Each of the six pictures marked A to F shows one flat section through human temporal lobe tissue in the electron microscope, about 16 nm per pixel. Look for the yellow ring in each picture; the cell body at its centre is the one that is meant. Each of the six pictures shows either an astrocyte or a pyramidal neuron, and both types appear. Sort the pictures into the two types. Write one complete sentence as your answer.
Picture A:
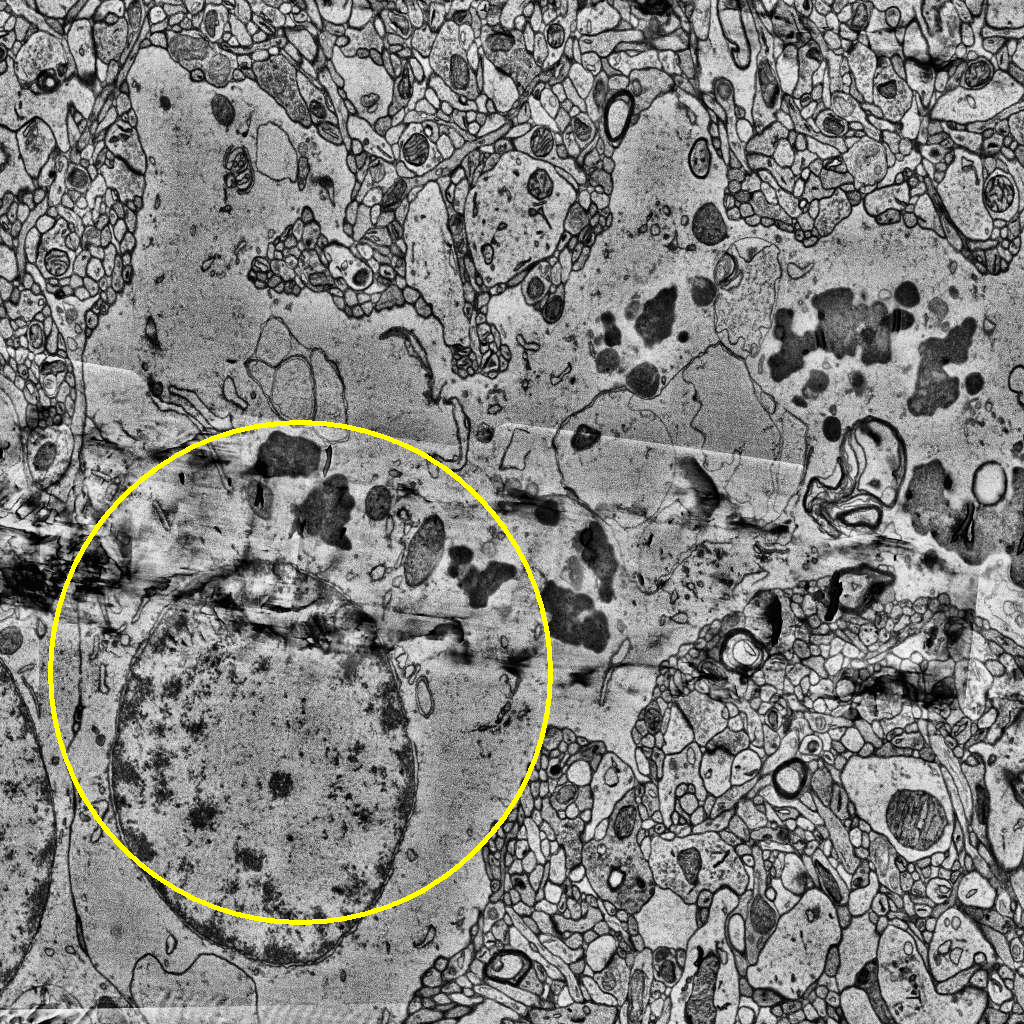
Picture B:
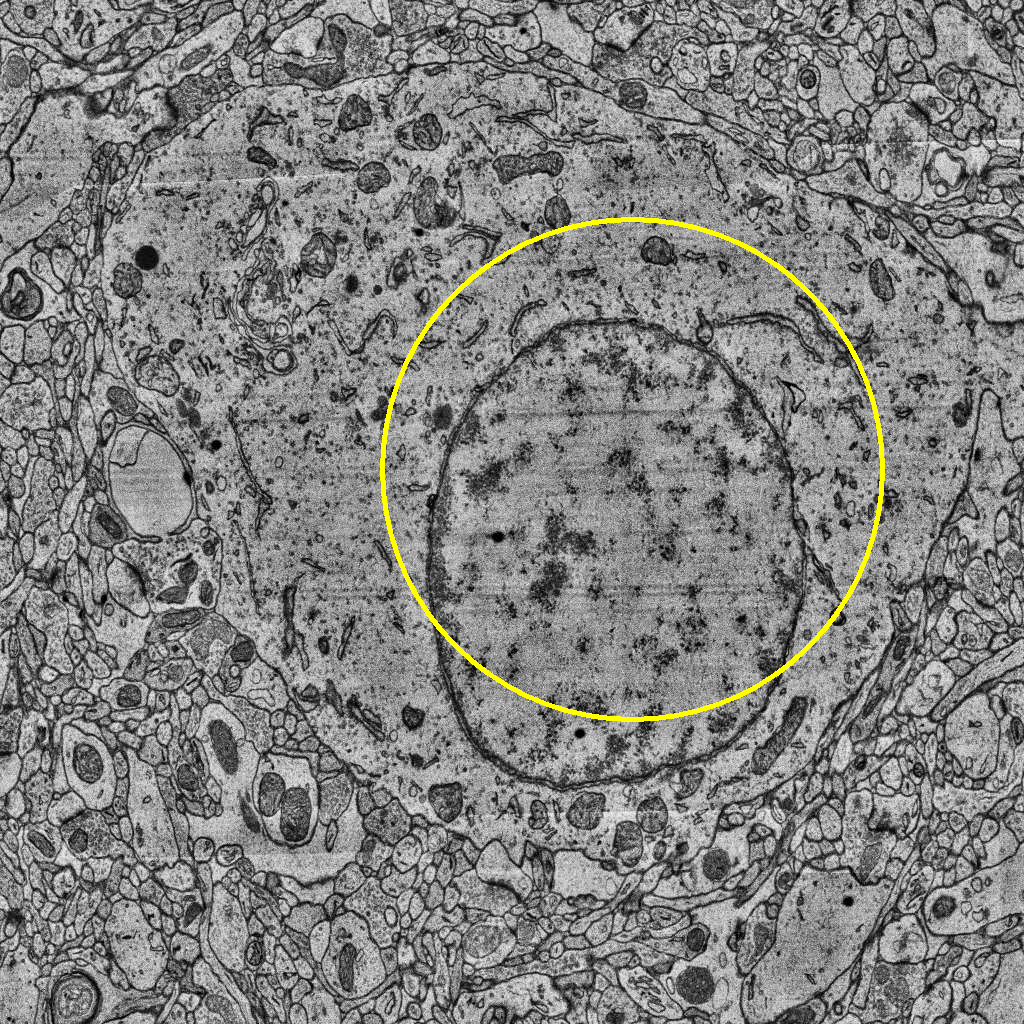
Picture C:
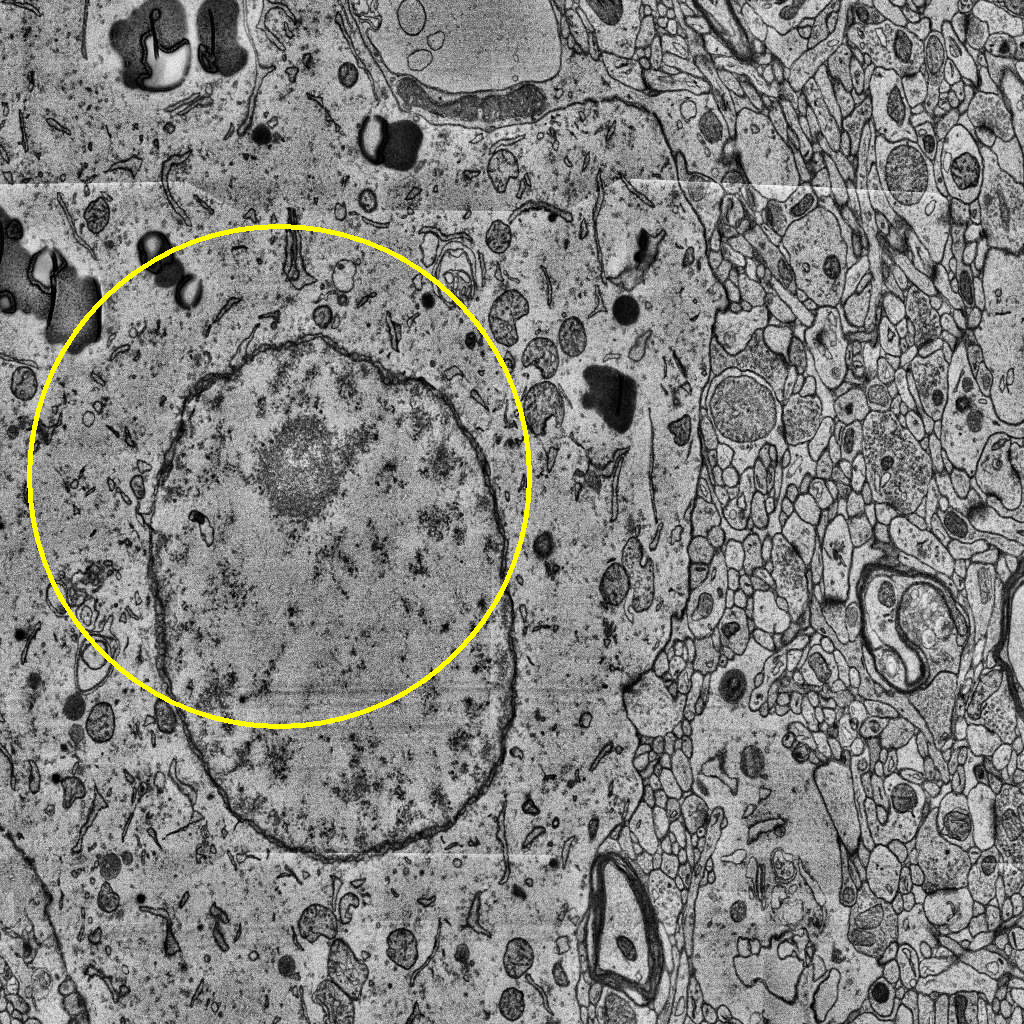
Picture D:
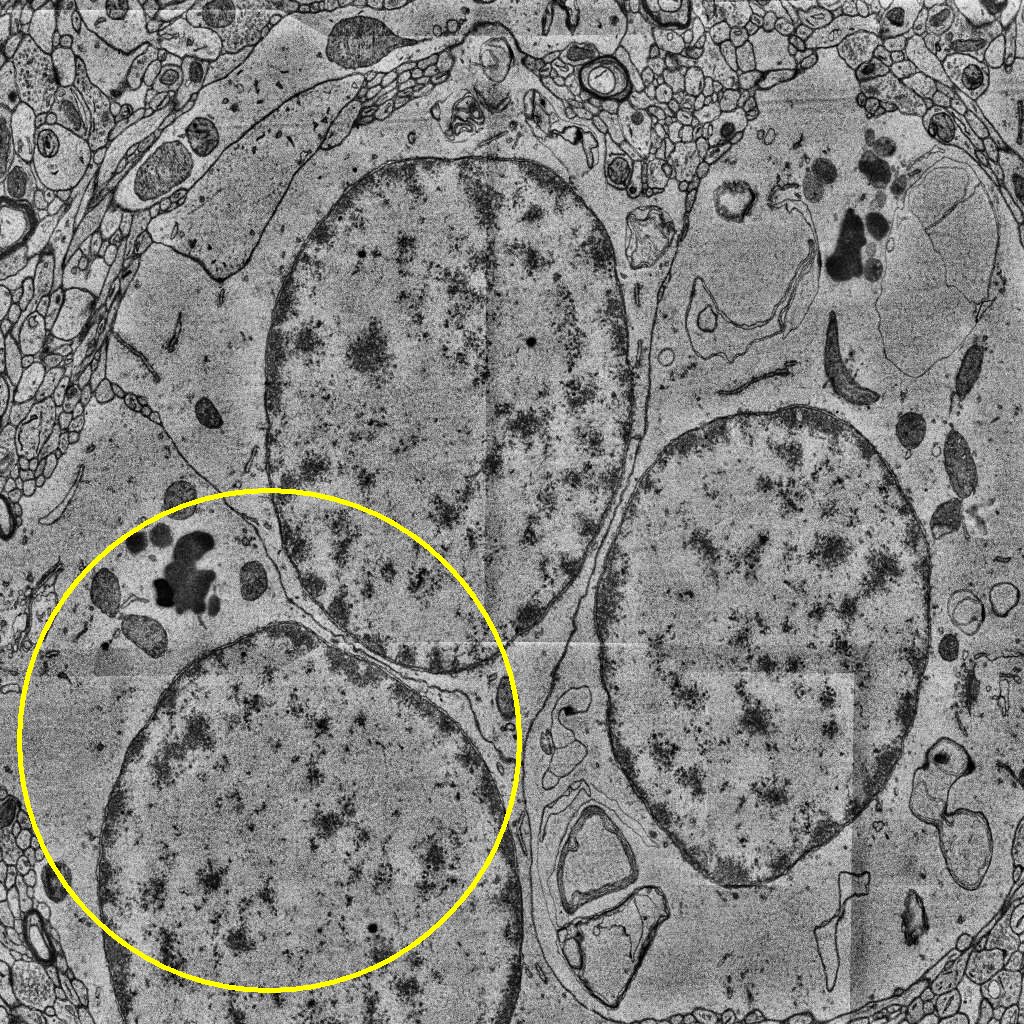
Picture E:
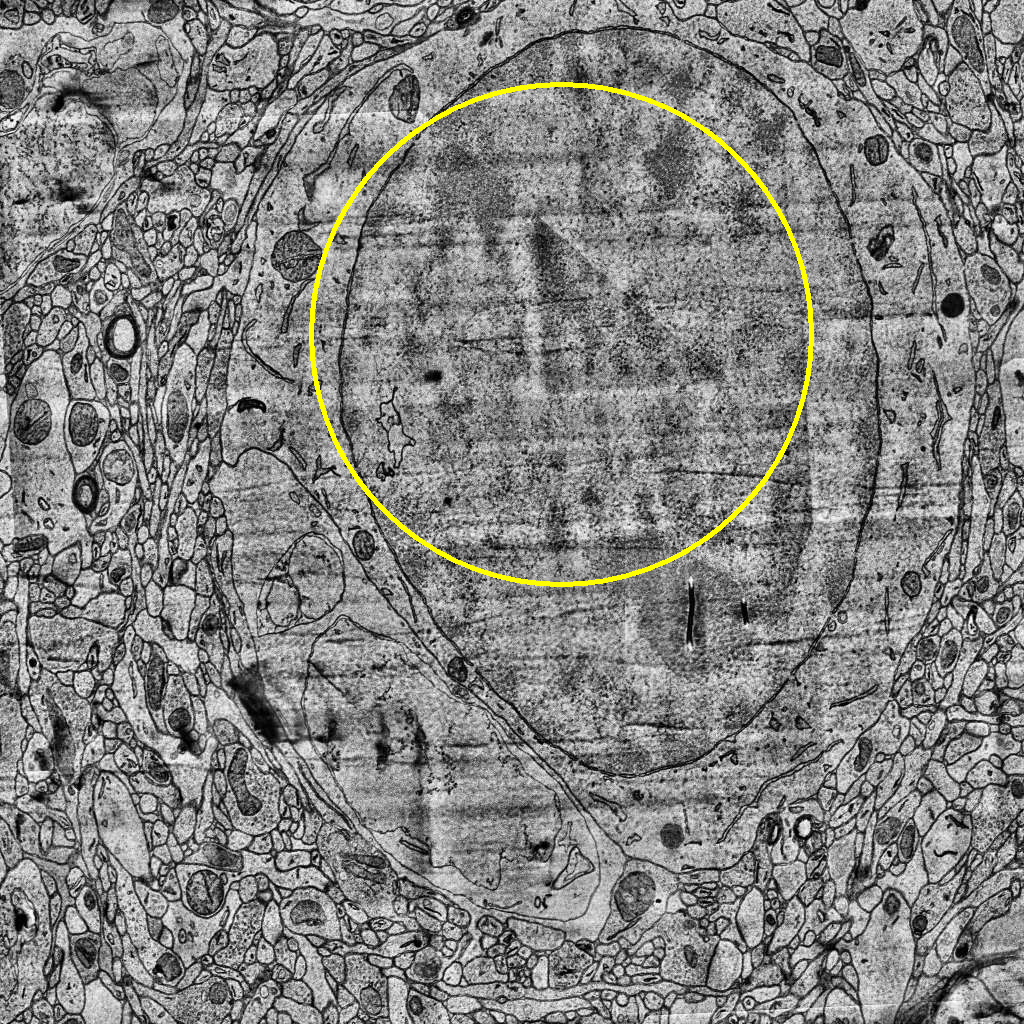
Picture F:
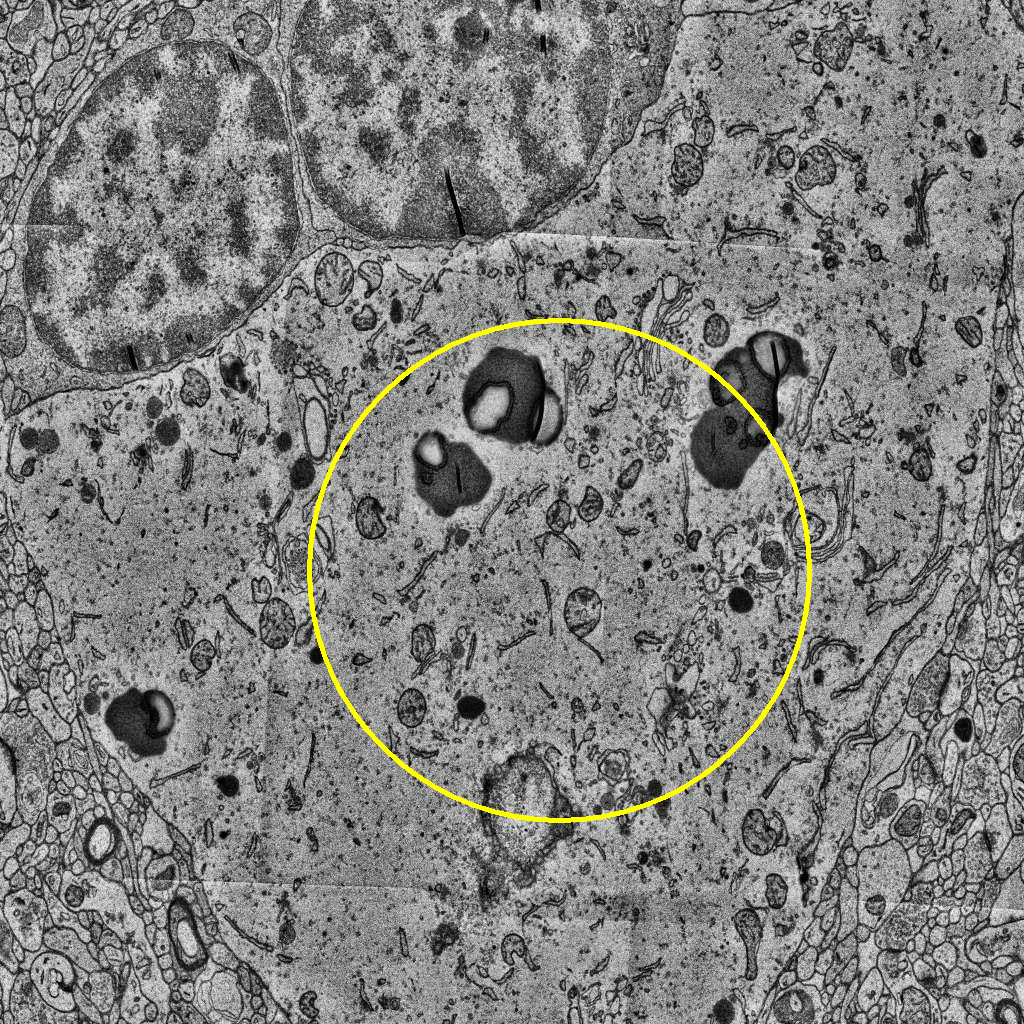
Pictures A and D show astrocytes; pictures B, C, E and F show pyramidal neurons.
